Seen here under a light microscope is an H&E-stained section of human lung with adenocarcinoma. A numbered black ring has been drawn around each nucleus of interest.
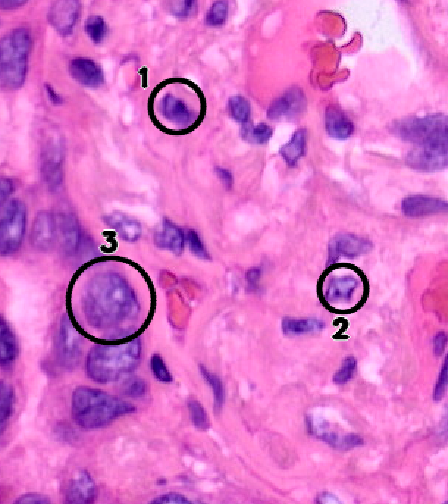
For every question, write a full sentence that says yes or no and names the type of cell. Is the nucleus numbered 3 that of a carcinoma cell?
Yes, the cell that has number 3 is a carcinoma cell.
